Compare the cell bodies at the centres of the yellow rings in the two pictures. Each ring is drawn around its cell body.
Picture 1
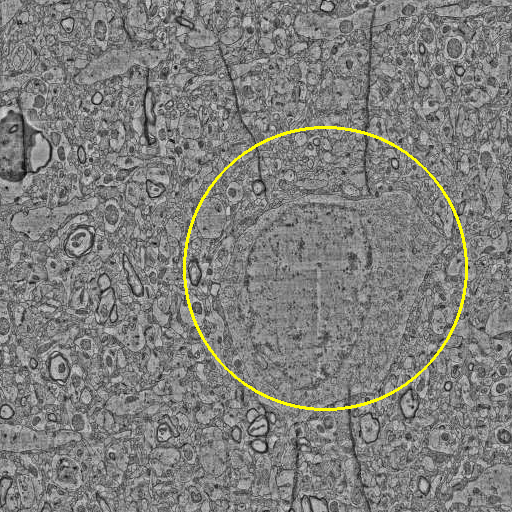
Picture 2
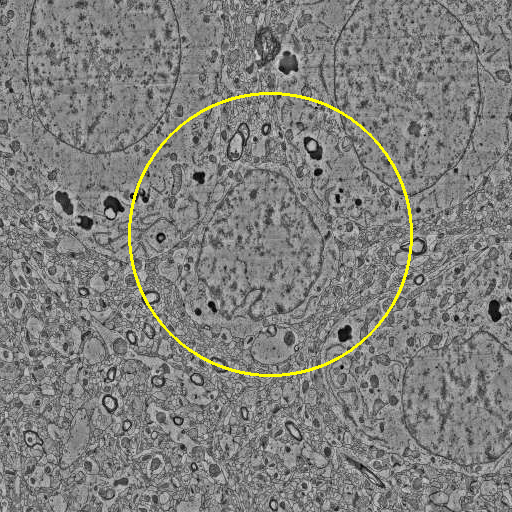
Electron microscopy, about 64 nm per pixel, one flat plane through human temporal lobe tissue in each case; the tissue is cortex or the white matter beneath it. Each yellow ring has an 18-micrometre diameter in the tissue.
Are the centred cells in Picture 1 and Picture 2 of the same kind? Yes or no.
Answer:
yes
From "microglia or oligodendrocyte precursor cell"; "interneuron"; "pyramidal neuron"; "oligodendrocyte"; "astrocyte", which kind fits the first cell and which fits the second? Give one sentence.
Each cell, in the first picture and the second, is an interneuron.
